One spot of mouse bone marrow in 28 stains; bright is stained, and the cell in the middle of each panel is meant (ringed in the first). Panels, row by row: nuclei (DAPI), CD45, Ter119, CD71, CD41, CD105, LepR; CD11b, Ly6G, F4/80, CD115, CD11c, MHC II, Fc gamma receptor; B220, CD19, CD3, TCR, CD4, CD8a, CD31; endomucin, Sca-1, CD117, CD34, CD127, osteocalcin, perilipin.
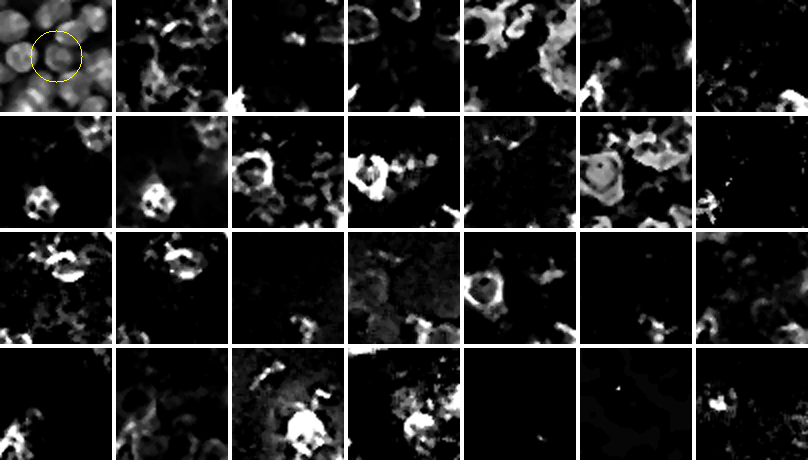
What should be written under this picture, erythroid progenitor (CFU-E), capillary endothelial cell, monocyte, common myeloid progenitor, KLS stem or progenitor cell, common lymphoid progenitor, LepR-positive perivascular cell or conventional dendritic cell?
common myeloid progenitor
